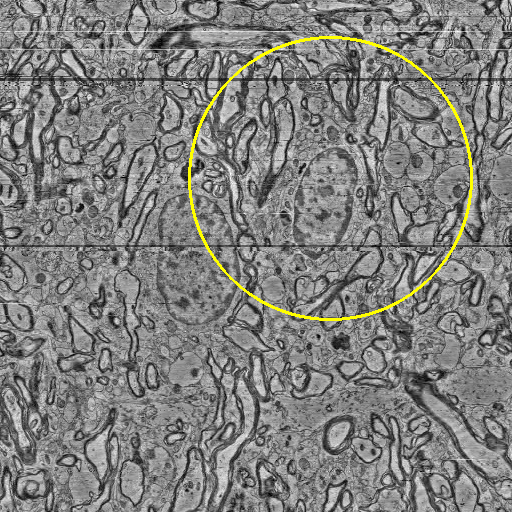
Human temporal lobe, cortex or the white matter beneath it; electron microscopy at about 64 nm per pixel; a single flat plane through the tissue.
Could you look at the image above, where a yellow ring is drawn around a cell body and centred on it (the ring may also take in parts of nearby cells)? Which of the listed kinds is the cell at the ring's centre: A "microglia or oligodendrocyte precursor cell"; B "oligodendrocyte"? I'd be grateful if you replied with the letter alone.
A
